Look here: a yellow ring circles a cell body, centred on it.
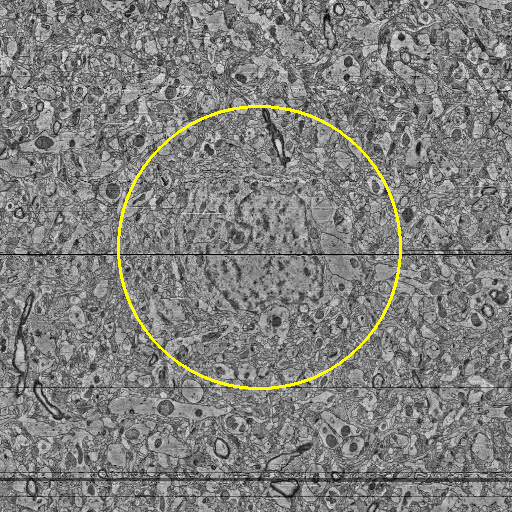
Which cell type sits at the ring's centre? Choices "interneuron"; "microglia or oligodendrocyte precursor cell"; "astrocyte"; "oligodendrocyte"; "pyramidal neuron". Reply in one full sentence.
The cell at the centre of the yellow ring in the picture is an interneuron.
